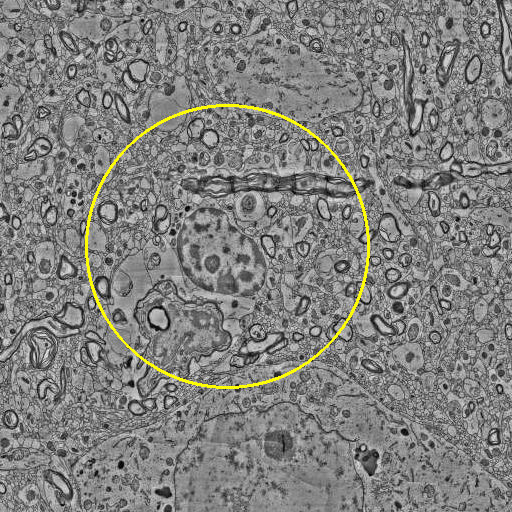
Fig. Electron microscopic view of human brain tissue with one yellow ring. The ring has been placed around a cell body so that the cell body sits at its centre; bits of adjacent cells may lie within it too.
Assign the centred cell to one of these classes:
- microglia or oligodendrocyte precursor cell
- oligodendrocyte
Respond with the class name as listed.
microglia or oligodendrocyte precursor cell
